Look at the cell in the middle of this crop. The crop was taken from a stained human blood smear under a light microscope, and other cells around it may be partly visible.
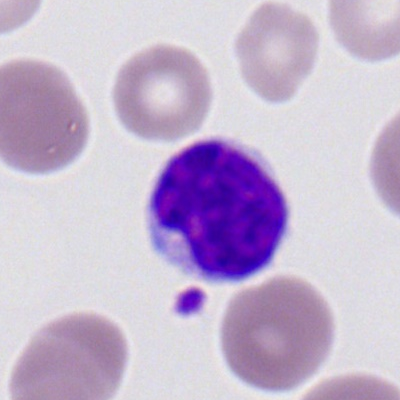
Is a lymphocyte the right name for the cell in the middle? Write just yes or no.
yes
